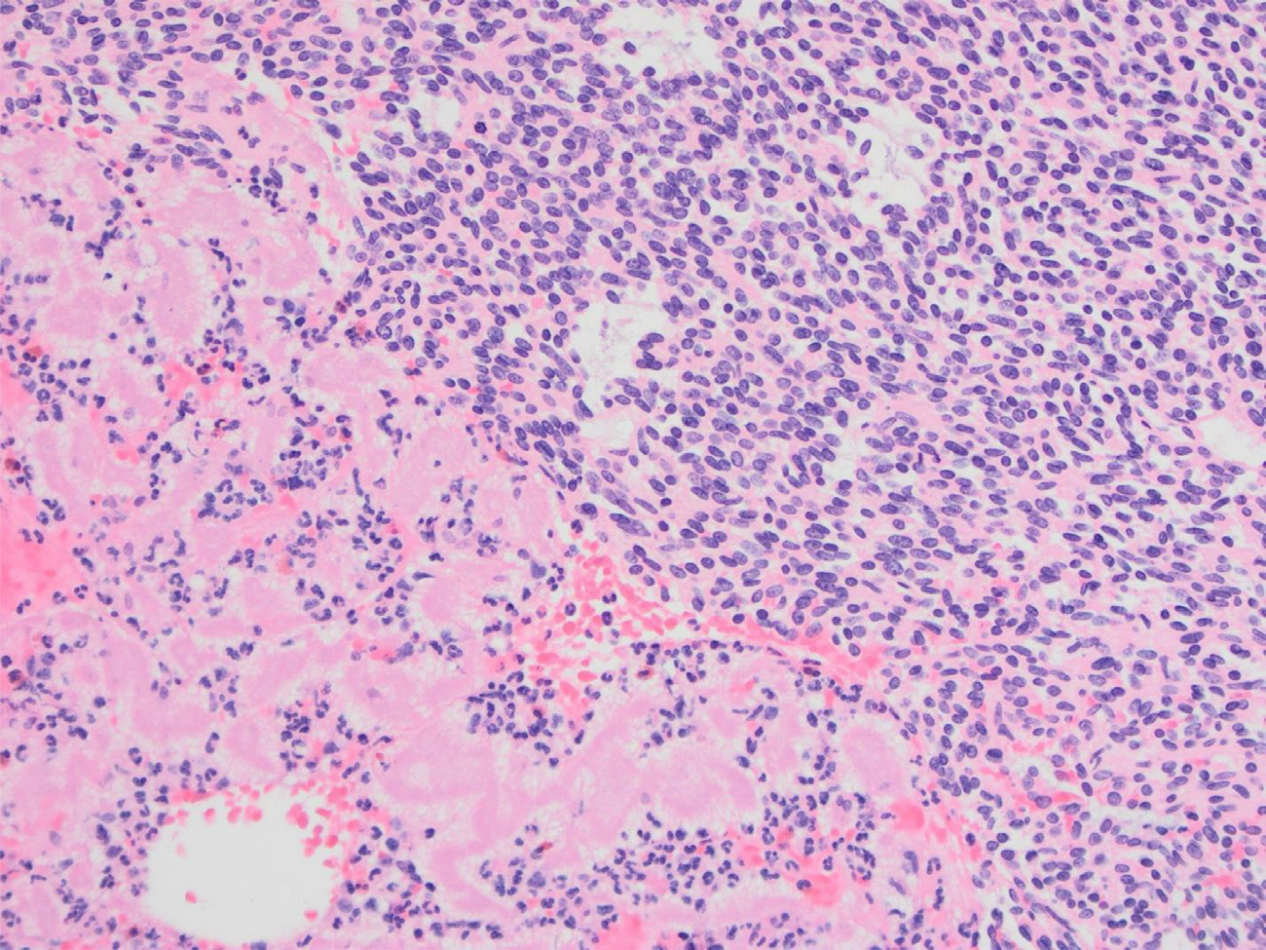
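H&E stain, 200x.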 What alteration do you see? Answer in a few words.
Spindle cell tumor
